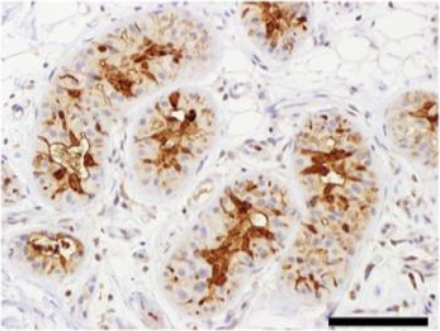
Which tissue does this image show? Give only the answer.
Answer: sweat glands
